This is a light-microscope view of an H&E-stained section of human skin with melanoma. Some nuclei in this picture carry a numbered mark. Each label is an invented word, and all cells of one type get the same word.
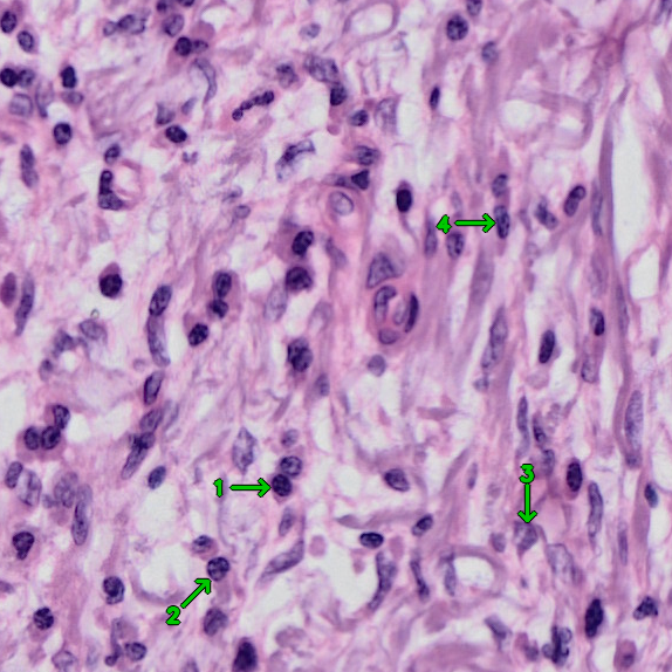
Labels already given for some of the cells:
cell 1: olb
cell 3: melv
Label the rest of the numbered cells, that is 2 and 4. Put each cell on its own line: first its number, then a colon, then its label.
2: olb
4: olb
